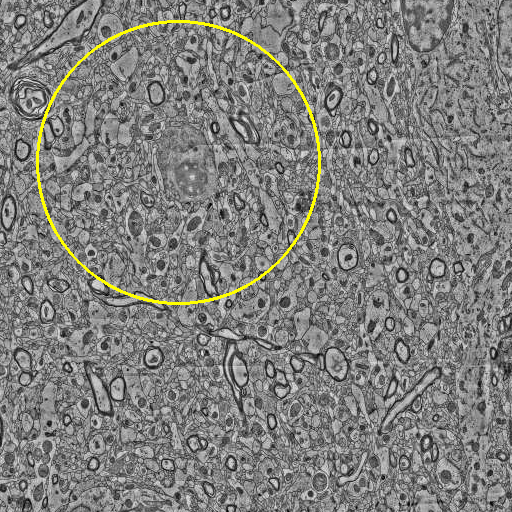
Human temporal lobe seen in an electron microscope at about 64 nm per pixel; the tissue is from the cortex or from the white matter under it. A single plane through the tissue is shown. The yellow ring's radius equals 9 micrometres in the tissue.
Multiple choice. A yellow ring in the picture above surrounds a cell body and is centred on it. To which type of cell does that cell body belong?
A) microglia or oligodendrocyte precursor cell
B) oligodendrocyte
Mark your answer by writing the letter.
B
